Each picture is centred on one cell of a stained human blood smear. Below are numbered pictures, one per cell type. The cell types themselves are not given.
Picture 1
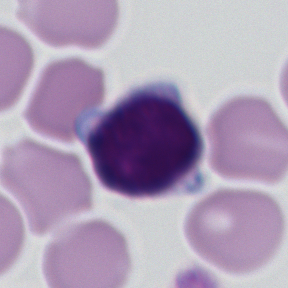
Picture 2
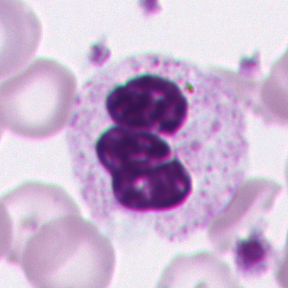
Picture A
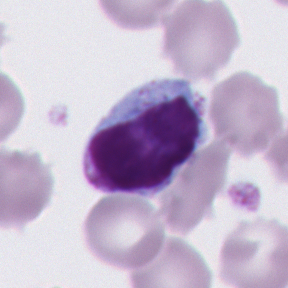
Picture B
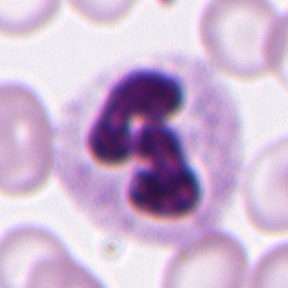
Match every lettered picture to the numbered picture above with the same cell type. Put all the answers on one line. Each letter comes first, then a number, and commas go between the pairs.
A 1, B 2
